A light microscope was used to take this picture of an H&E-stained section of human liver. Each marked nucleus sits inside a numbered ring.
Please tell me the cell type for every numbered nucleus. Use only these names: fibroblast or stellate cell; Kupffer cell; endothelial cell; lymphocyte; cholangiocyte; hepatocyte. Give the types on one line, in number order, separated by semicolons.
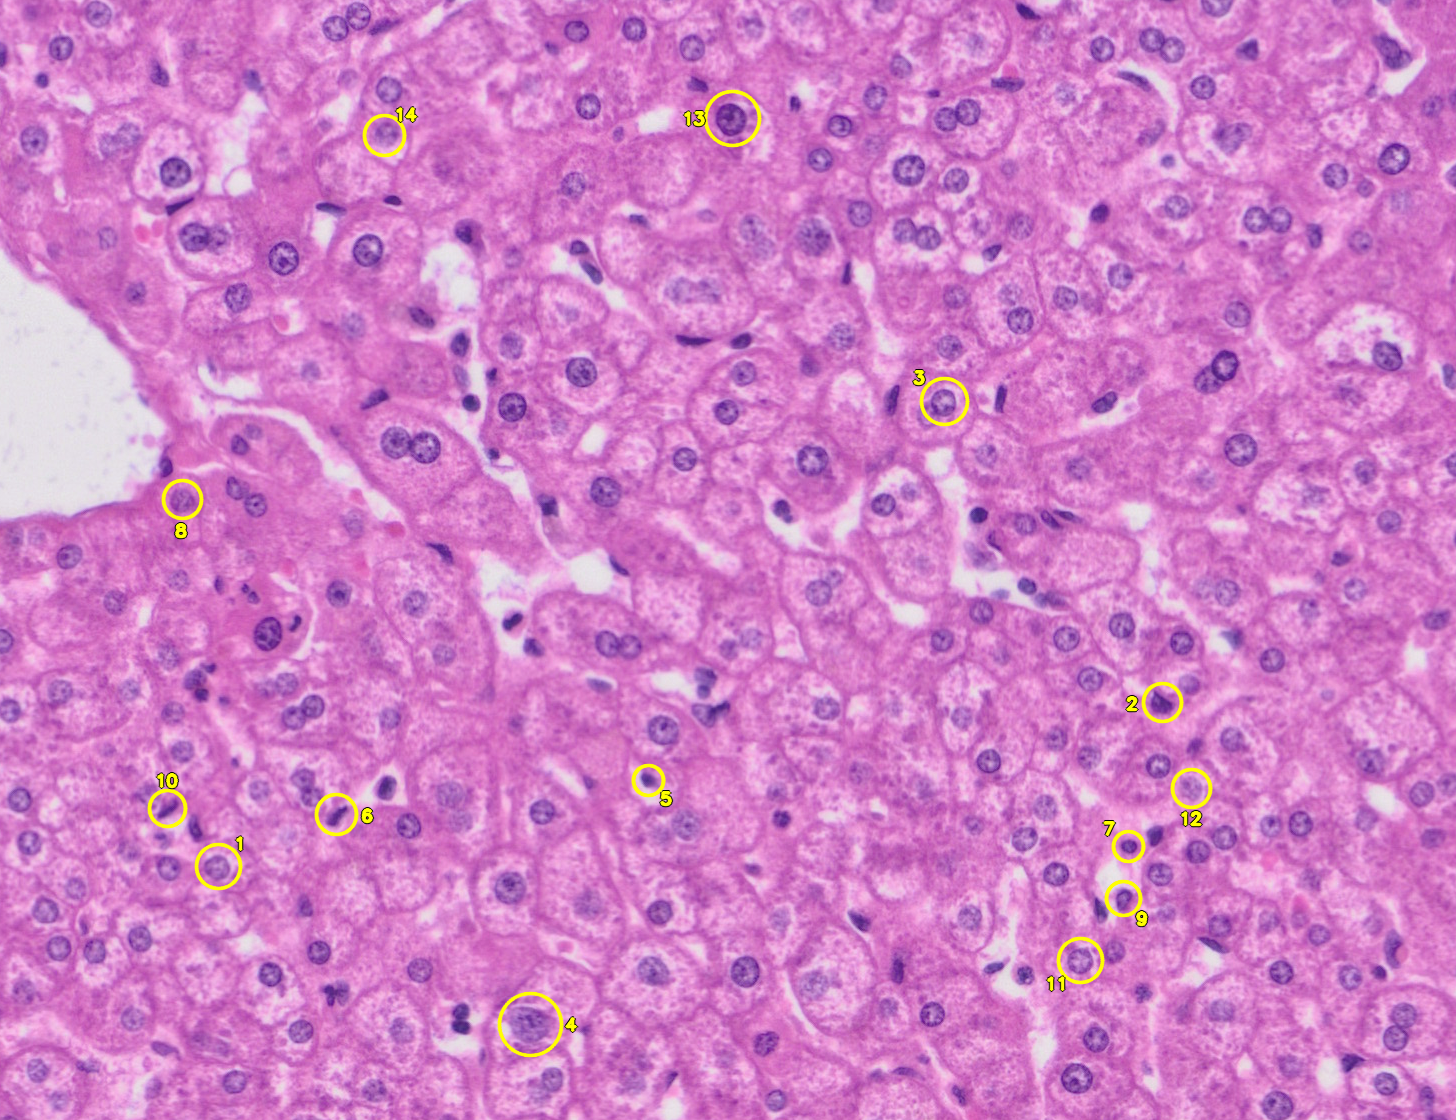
hepatocyte; fibroblast or stellate cell; hepatocyte; hepatocyte; lymphocyte; endothelial cell; lymphocyte; hepatocyte; Kupffer cell; fibroblast or stellate cell; hepatocyte; hepatocyte; hepatocyte; hepatocyte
